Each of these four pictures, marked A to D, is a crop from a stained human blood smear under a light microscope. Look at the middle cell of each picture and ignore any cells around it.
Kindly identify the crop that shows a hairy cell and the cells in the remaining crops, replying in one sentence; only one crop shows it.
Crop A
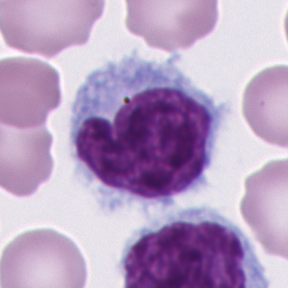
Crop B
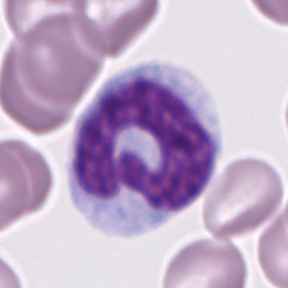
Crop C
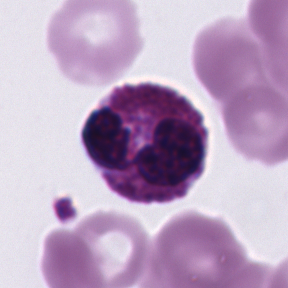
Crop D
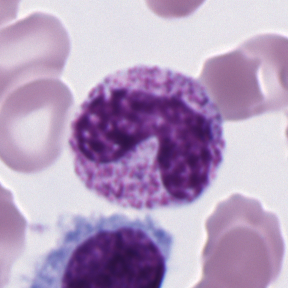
Crop A is a hairy cell; as for the rest, crop B is a monocyte, crop C is an eosinophil and crop D is a band neutrophil.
